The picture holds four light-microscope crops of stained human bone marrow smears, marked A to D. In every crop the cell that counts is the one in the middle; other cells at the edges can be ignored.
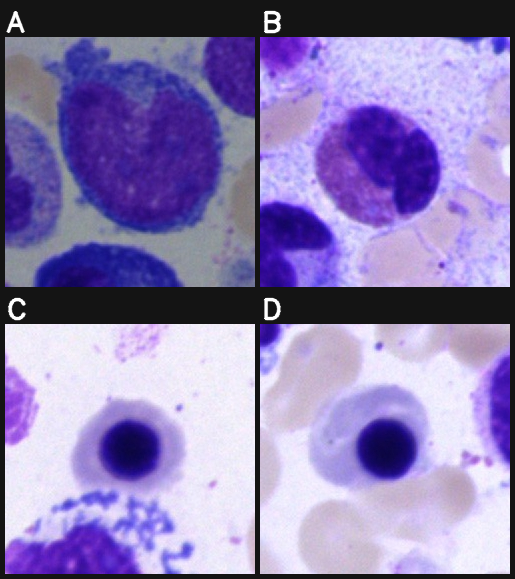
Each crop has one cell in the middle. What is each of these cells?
A: blast
B: eosinophil
C: normoblast
D: normoblast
